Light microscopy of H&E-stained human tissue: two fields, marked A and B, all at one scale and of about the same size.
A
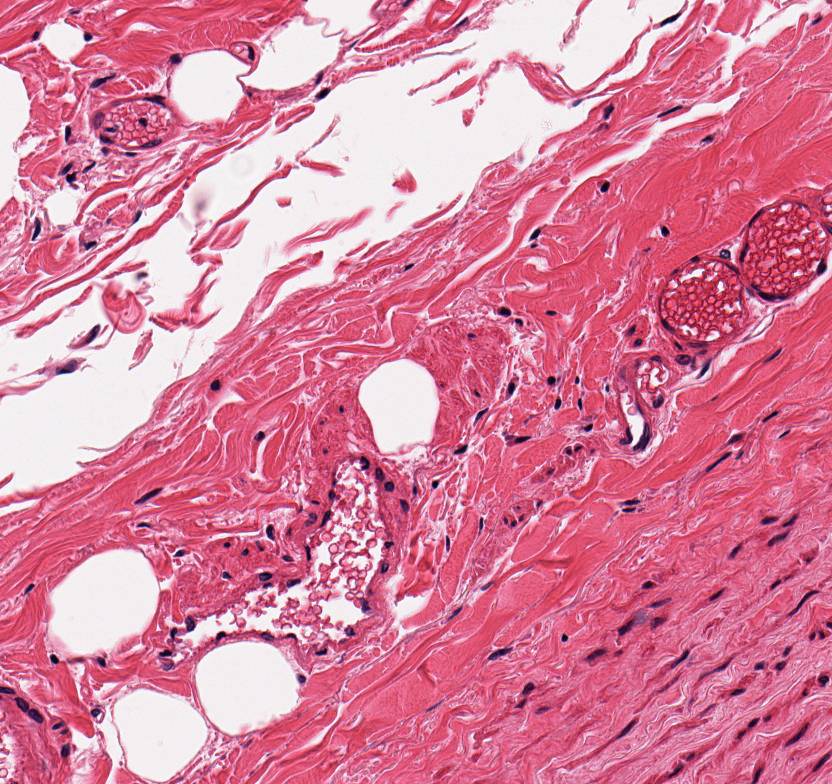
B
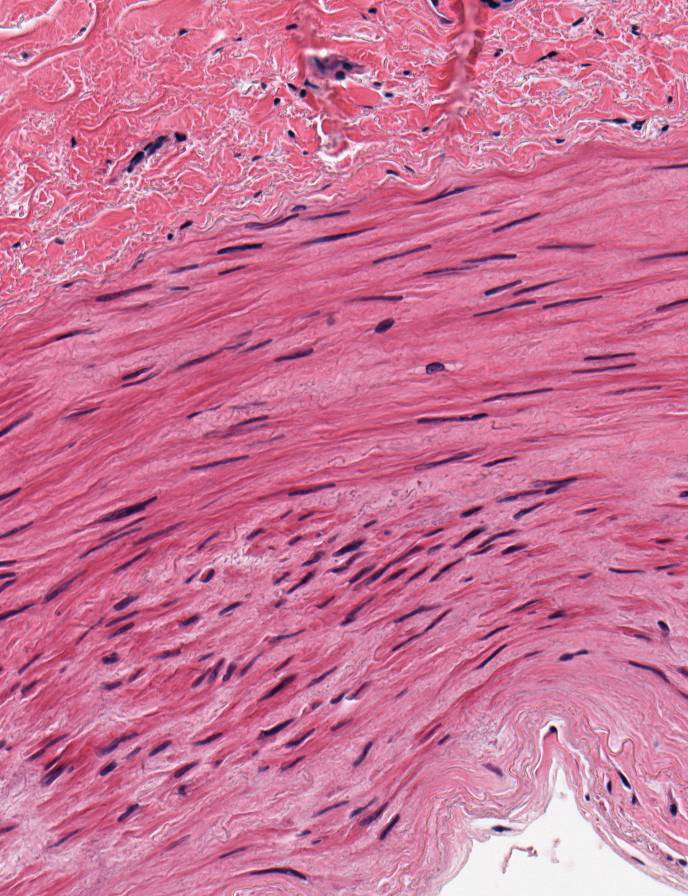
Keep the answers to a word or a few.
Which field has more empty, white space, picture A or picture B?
A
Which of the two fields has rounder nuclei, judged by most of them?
A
